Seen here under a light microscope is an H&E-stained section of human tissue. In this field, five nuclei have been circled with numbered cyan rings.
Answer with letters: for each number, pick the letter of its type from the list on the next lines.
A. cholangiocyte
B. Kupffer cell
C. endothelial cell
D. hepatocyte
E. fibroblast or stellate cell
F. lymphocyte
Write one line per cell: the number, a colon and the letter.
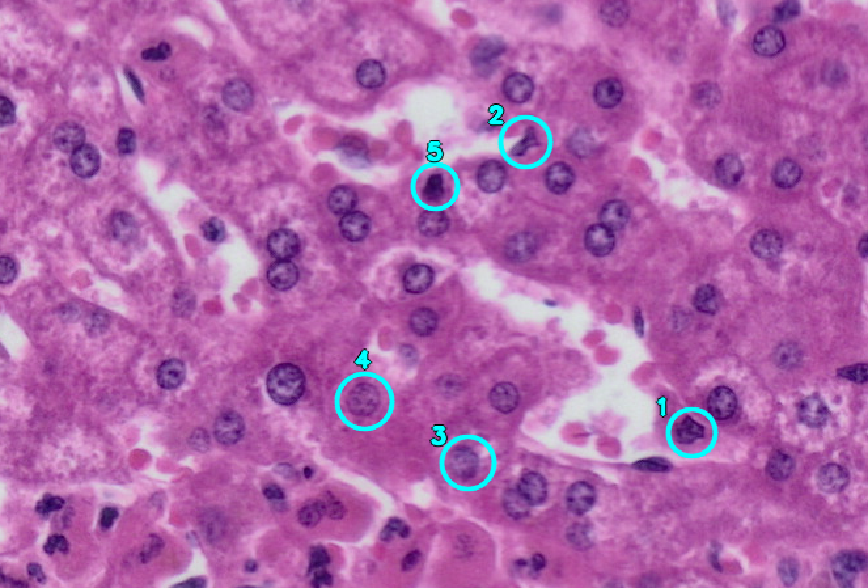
1: B
2: C
3: D
4: D
5: E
